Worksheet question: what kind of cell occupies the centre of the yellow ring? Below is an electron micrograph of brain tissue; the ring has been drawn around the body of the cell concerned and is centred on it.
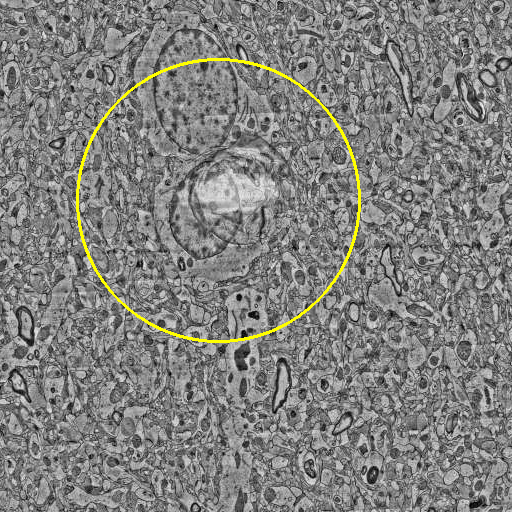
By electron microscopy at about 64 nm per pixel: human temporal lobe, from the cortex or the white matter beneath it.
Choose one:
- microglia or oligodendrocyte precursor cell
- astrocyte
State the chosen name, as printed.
astrocyte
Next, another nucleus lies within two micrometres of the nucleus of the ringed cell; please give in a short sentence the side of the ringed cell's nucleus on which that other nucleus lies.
The other nucleus sits above it.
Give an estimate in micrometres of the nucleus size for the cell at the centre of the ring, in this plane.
The ringed cell's nucleus is about 6 micrometres long and 5 micrometres wide in this plane.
